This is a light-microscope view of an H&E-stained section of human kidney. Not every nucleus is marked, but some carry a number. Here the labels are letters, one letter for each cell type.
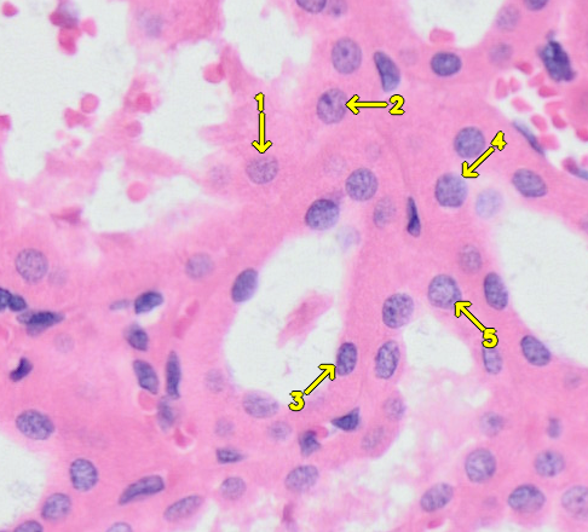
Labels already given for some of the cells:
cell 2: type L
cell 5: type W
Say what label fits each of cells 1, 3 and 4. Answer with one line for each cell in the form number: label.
1: type L
3: type W
4: type W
